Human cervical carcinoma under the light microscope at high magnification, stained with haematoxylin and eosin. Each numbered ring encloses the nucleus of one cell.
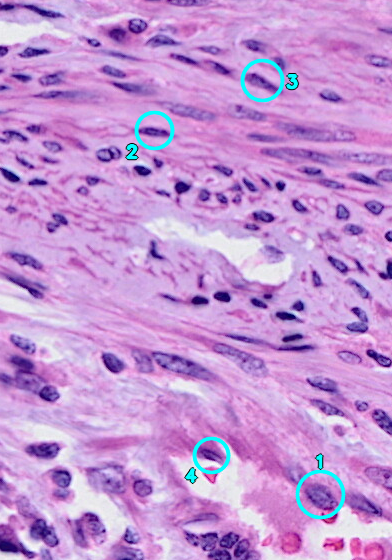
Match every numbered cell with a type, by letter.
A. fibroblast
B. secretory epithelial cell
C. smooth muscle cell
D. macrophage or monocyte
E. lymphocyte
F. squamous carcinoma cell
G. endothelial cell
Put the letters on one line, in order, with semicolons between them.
G; C; C; G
